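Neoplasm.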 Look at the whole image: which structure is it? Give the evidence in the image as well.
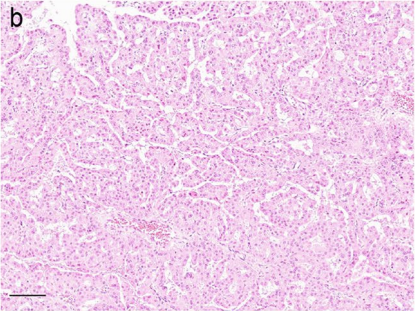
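Cords and fronds of epithelial cells branch around narrow clefts. Thin cores run through the cell cords. On this evidence: complex papillary structures.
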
